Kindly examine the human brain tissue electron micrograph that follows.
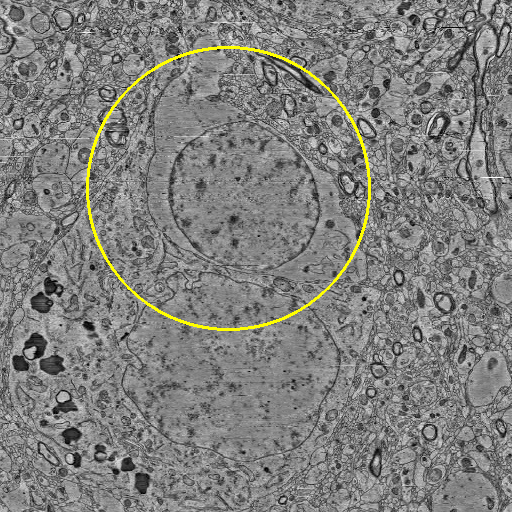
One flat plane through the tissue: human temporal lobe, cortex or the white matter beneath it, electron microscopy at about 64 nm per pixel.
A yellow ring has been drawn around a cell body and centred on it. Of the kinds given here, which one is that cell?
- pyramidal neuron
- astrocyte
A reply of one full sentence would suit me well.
The micrograph's ringed cell, the one at the ring's centre, is an astrocyte.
